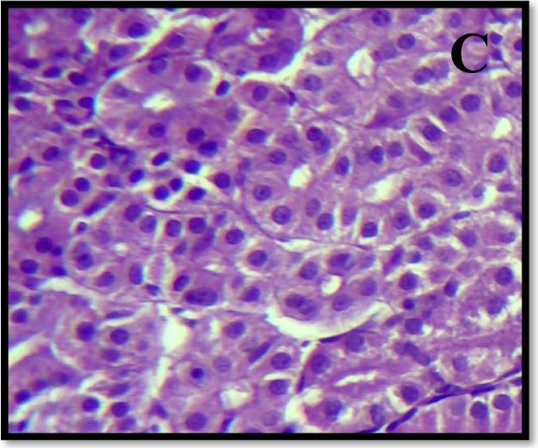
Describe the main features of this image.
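Kidney tissue of closely packed renal tubules lined by cuboidal epithelial cells. Each cell has a round, centrally placed dark purple nucleus and pale pink cytoplasm; lumens are narrow and the tubules abut one another with little space between.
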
